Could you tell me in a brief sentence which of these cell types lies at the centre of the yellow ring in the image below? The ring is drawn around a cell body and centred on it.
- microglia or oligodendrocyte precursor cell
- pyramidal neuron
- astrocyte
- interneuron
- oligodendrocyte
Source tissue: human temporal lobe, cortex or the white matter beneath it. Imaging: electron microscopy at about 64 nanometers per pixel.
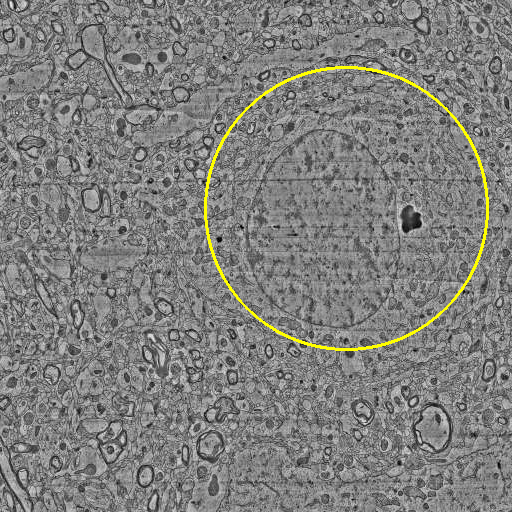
The cell centred in the ring is an interneuron.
